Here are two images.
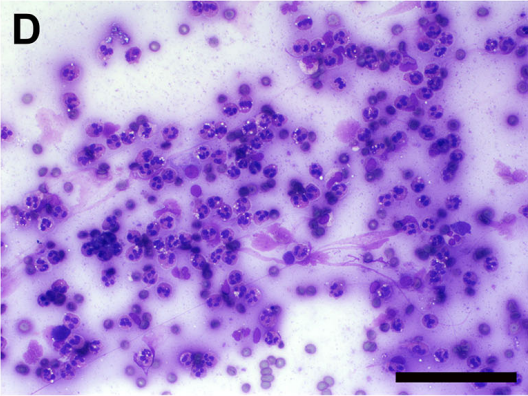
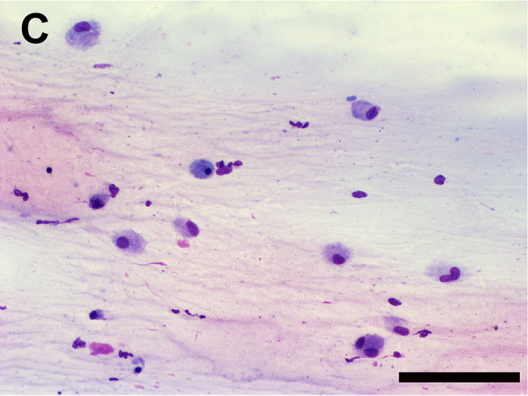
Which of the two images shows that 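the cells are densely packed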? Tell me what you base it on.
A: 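First image: nucleated cells crowd the field, touching one another. Second image: only a few nucleated cells lie far apart in a pale background.
The first image.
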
